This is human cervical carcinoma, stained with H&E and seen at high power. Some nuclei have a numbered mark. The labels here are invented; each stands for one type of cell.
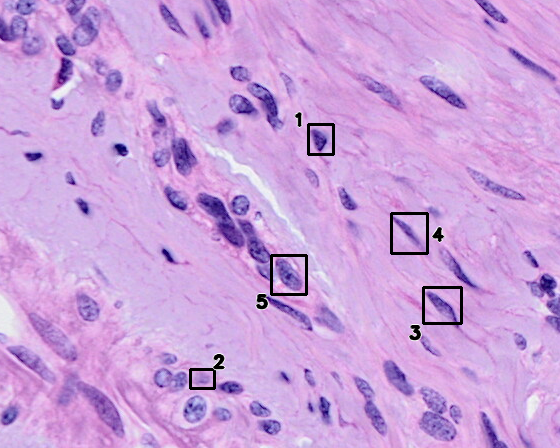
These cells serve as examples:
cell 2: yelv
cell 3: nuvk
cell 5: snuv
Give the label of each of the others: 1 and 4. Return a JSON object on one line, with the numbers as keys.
{"1": "nuvk", "4": "nuvk"}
